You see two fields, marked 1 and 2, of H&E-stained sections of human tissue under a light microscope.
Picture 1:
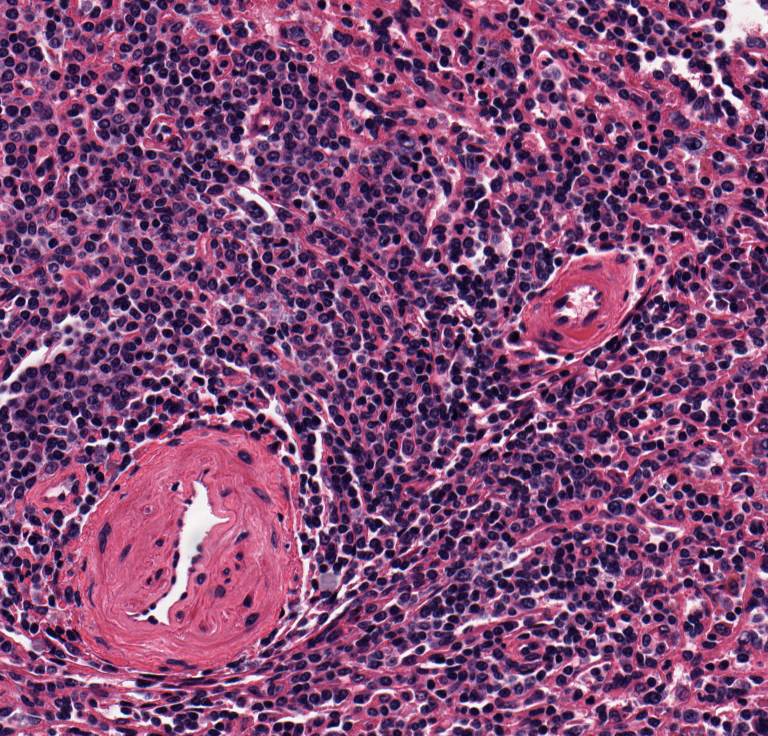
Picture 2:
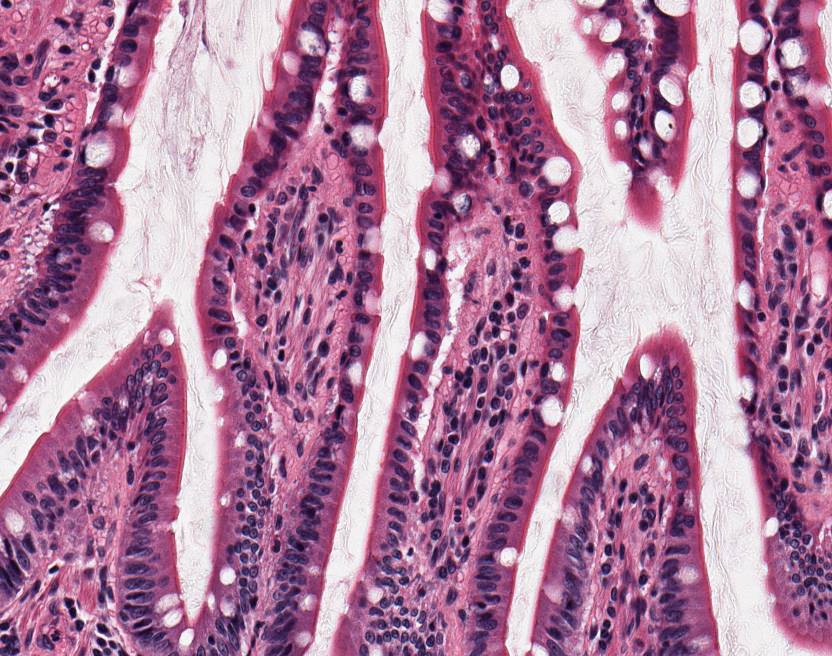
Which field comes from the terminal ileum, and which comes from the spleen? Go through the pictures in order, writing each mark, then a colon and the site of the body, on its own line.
1: spleen
2: terminal ileum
